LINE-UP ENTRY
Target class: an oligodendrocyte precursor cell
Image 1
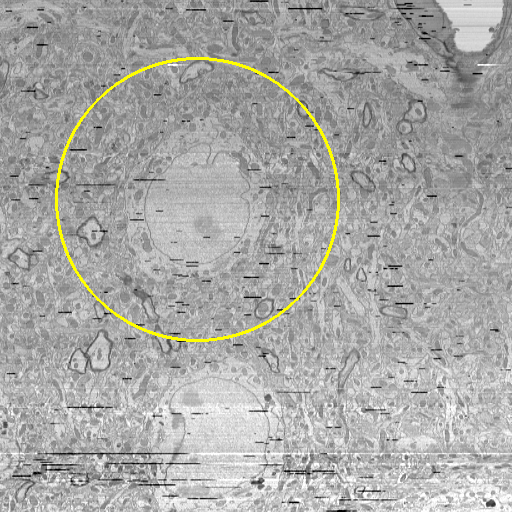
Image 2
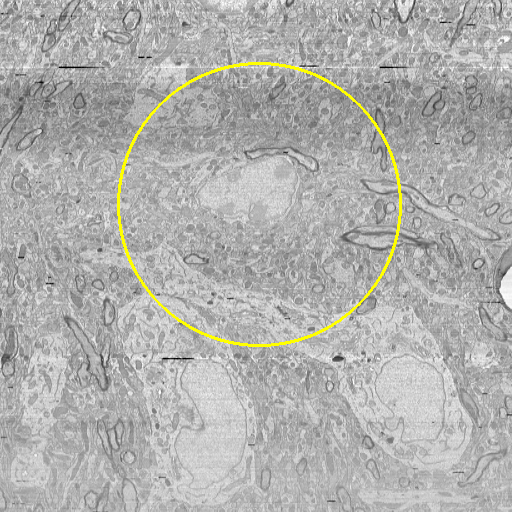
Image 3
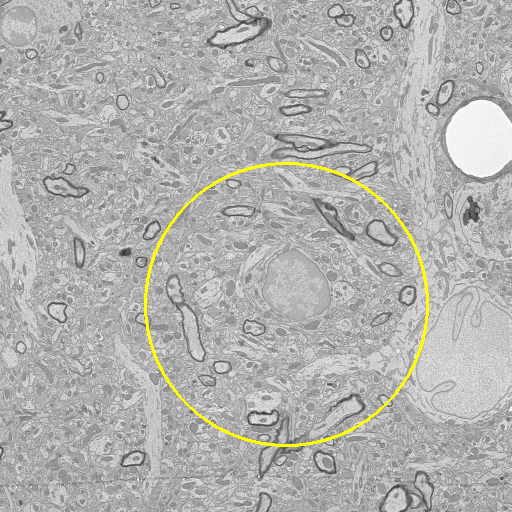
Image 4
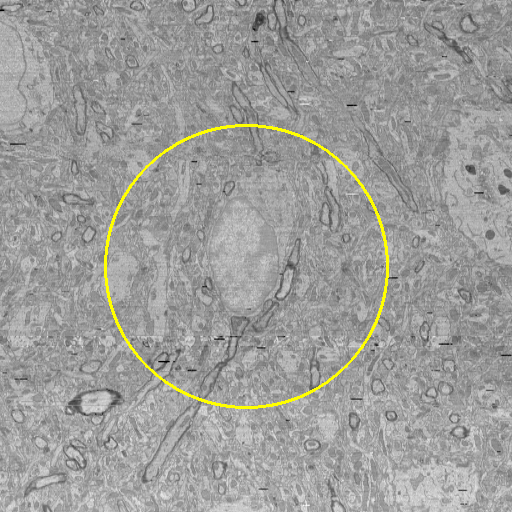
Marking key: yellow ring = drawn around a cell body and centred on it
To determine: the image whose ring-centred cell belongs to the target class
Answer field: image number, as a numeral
2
